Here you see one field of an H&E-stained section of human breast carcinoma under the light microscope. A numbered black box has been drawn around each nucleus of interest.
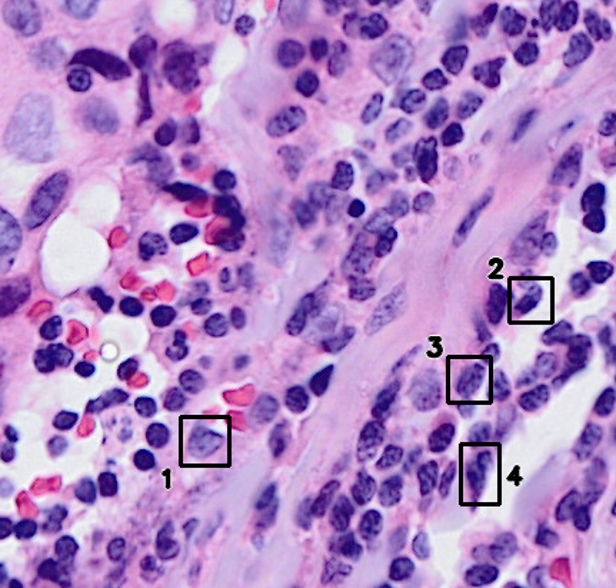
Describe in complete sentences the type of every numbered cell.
Cell 1 is an endothelial cell. Cells 2, 3 and 4 are lymphocytes.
